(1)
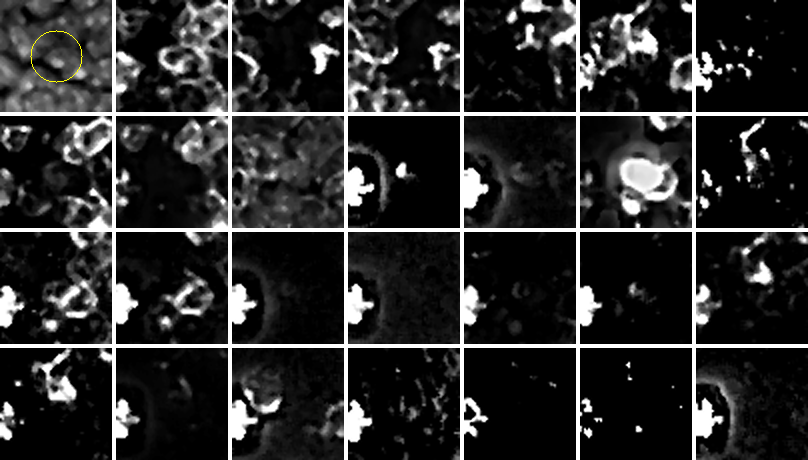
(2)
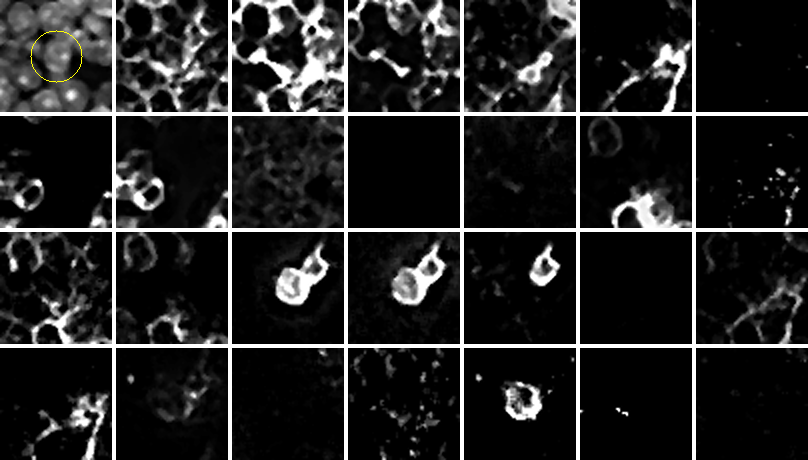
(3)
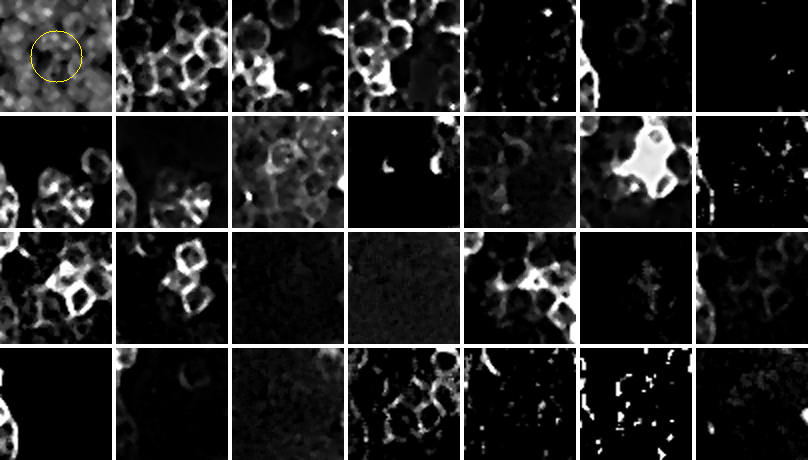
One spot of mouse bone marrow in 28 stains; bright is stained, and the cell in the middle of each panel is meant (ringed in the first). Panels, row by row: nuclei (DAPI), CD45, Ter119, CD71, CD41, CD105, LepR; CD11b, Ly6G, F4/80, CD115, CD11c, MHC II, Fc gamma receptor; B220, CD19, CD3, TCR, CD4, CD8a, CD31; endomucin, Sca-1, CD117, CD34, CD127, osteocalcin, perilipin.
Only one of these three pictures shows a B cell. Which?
Picture 3.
